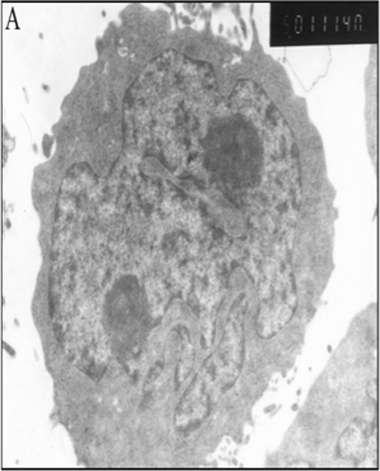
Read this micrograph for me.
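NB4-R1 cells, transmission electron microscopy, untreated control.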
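This is a single round cell whose large, irregularly indented nucleus fills most of the cell. The nucleus has finely dispersed chromatin and contains dark, dense nucleoli, and its envelope is continuous. The plasma membrane is intact, with a slightly ruffled surface.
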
